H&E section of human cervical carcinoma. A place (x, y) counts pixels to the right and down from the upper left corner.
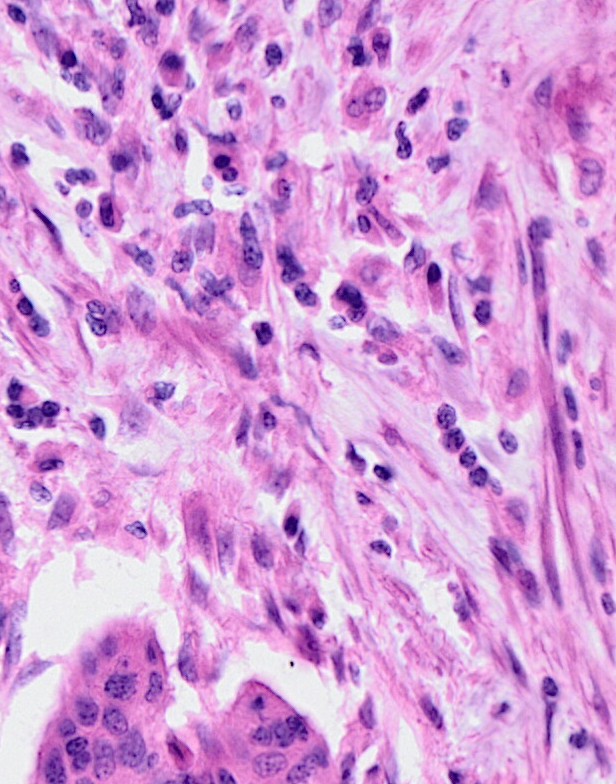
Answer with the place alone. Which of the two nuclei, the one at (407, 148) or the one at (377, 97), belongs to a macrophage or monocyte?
(377, 97)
